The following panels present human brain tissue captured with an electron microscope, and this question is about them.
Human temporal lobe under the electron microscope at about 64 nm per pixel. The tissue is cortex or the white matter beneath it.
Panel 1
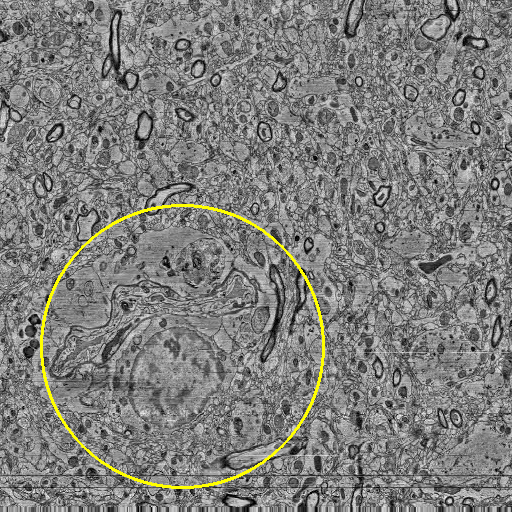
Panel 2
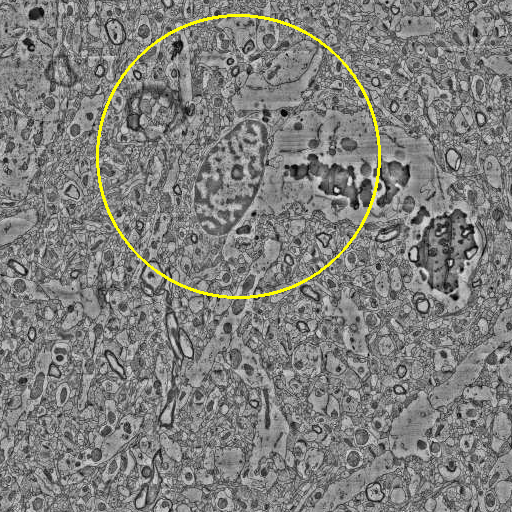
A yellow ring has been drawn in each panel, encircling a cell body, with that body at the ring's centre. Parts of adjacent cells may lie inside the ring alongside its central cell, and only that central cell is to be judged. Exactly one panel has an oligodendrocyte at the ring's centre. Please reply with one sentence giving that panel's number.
The ring whose central cell fits the description is the one in panel 1.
